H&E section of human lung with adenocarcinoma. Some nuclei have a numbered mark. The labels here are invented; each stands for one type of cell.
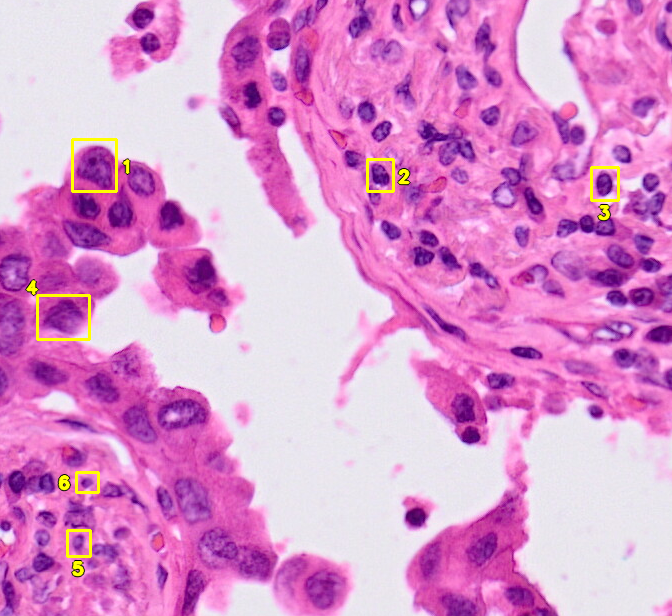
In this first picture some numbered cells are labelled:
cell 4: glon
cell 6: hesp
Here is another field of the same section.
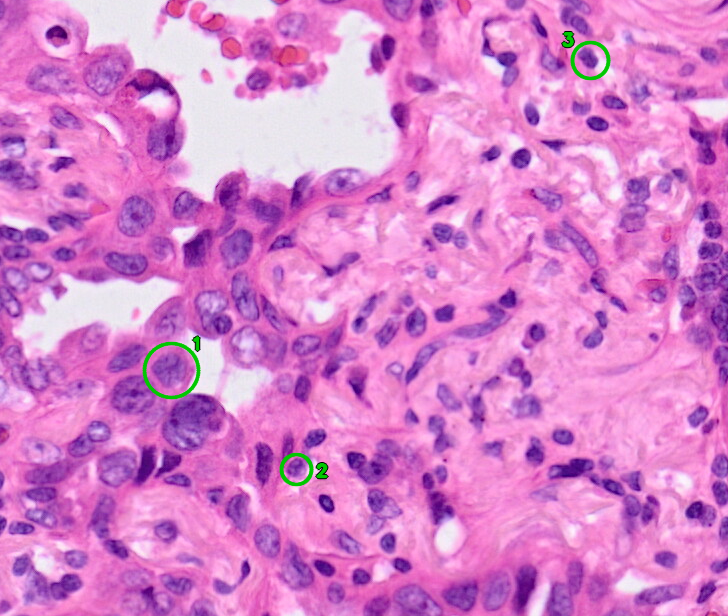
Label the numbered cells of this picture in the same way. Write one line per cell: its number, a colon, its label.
1: glon
2: hesp
3: hesp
